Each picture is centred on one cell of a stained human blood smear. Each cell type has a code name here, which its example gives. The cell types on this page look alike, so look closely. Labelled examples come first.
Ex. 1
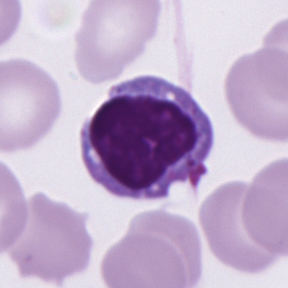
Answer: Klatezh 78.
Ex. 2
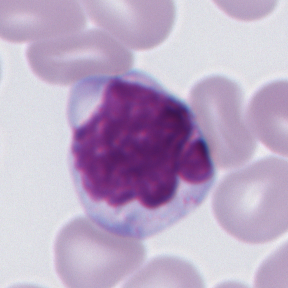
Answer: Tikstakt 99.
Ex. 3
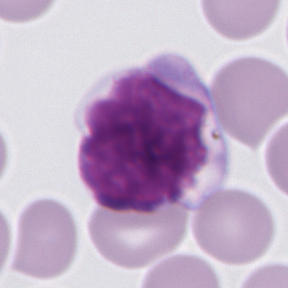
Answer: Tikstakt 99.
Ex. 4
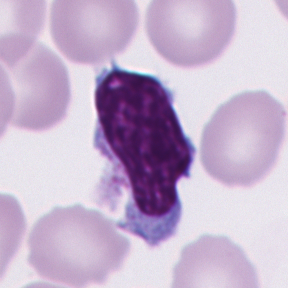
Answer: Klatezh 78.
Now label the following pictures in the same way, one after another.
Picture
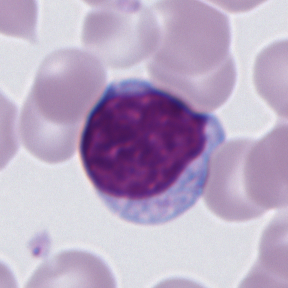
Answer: Tikstakt 99.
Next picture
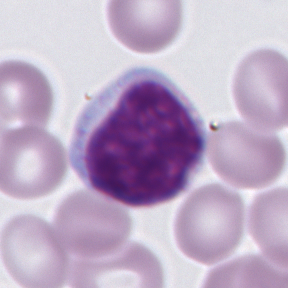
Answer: Tikstakt 99.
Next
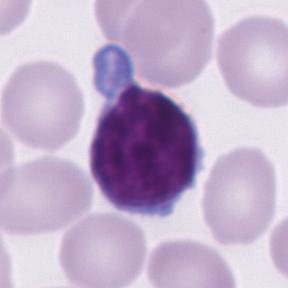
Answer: Klatezh 78.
